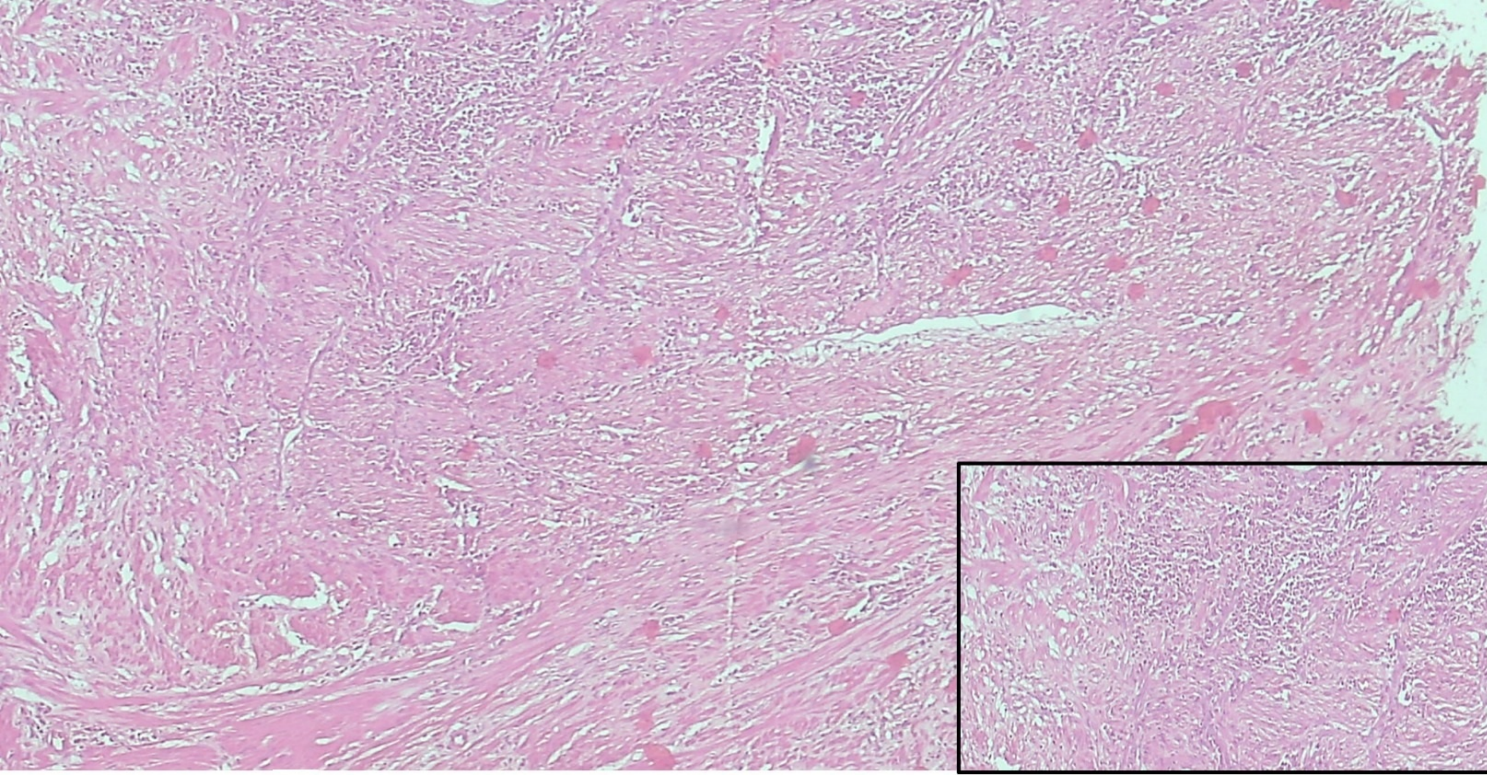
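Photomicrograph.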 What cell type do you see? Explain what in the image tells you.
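Spindle cells. Elongated cells with pink cytoplasm fill the field. The cells run in intersecting bundles.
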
